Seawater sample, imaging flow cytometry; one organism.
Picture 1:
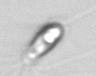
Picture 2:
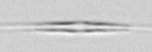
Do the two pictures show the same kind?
No: Chrysochromulina parkeae, then Cylindrotheca.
